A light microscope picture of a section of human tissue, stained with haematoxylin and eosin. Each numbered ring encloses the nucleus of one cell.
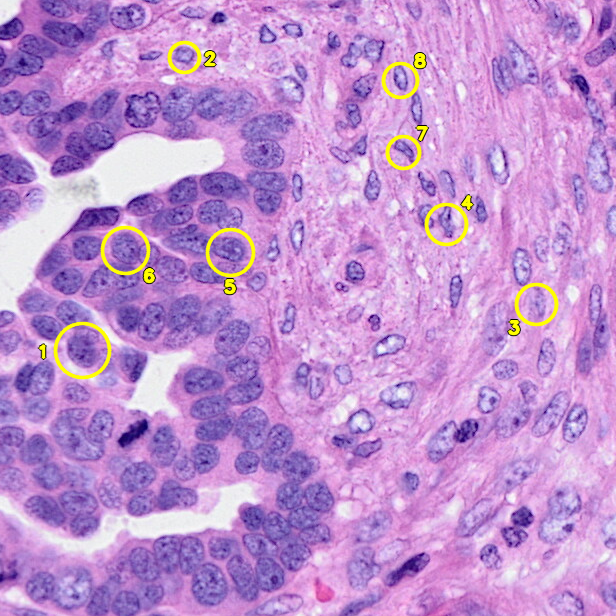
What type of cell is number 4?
fibroblast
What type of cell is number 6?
carcinoma cell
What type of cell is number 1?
carcinoma cell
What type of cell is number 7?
fibroblast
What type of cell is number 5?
carcinoma cell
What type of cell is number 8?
fibroblast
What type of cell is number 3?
fibroblast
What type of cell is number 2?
fibroblast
